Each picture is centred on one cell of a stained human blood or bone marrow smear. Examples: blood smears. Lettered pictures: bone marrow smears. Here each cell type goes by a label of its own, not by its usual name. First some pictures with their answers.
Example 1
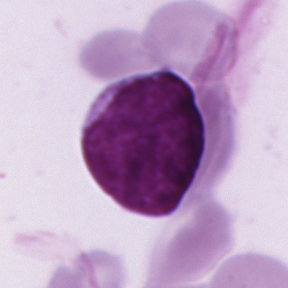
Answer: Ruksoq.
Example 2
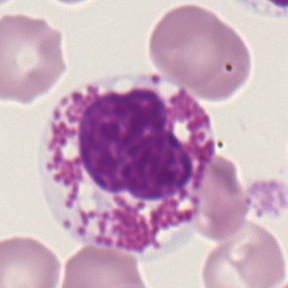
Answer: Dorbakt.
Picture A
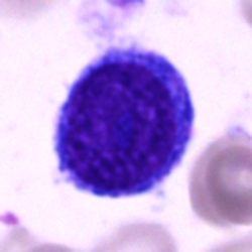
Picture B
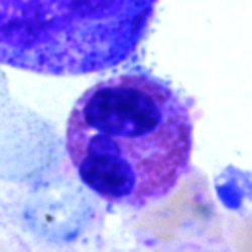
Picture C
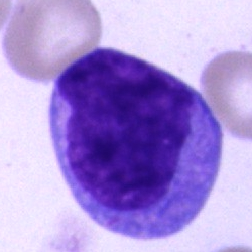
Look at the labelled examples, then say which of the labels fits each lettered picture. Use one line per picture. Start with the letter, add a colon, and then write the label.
A: Ruksoq.
B: Dorbakt.
C: Ruksoq.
